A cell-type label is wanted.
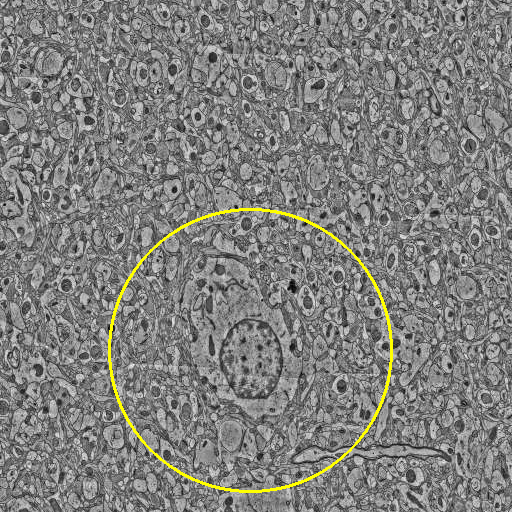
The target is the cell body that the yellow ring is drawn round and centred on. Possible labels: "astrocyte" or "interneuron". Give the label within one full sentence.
Of the labels offered, the cell in the middle of the yellow ring is an astrocyte.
